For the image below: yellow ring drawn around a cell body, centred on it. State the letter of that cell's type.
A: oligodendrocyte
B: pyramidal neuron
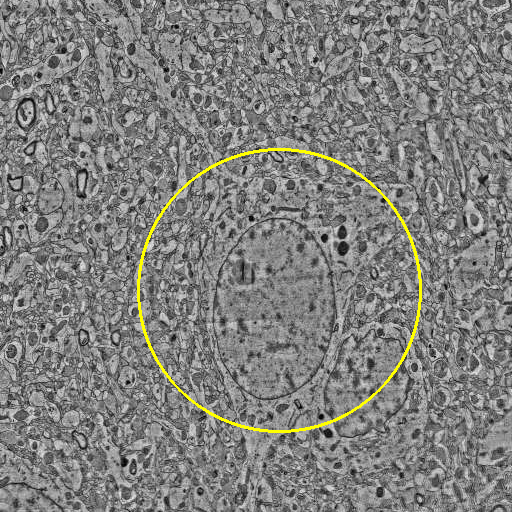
B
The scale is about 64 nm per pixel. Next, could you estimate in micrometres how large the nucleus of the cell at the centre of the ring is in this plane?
About 12 by 8 micrometres, the nucleus being clearly longer than it is wide in this plane.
